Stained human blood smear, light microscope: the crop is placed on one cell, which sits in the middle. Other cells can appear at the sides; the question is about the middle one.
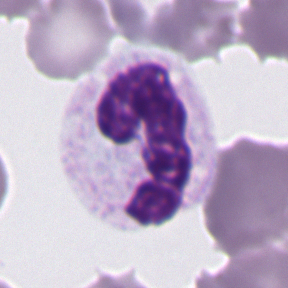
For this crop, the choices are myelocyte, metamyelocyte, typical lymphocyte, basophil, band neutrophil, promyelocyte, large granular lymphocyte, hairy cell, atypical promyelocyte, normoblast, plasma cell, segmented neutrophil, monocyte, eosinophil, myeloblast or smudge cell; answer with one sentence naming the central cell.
The cell in the exact centre of the crop is a segmented neutrophil.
